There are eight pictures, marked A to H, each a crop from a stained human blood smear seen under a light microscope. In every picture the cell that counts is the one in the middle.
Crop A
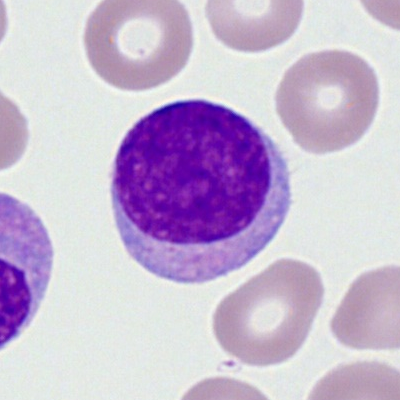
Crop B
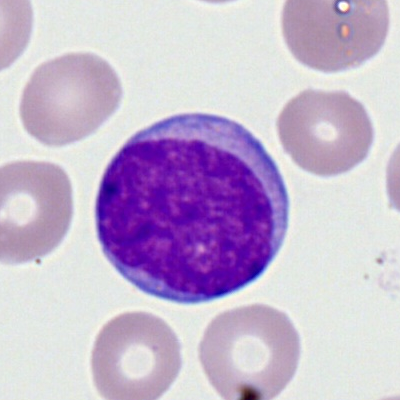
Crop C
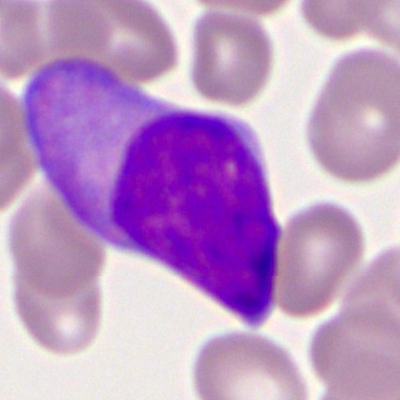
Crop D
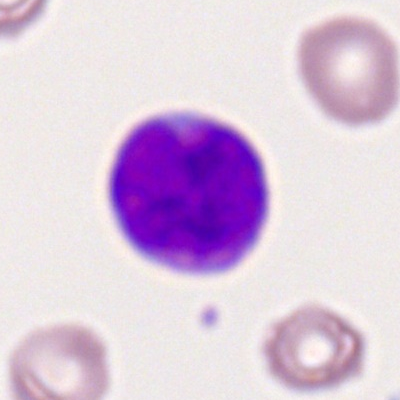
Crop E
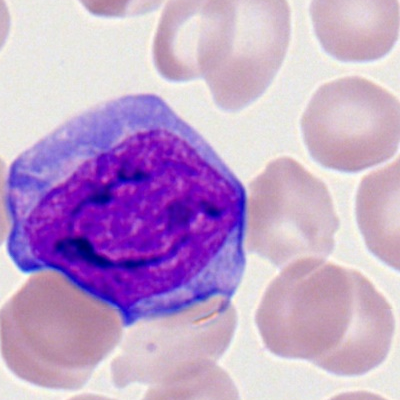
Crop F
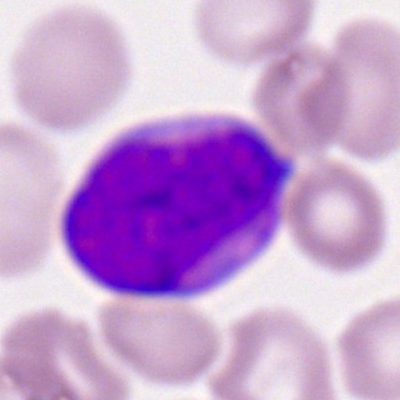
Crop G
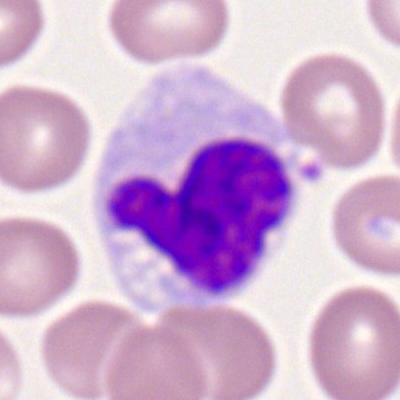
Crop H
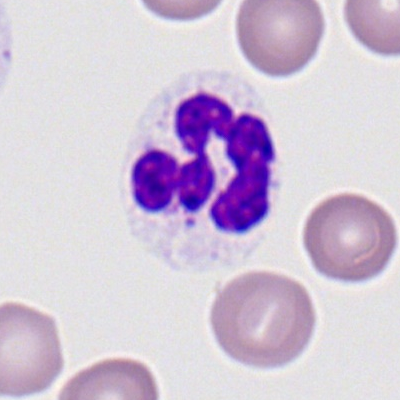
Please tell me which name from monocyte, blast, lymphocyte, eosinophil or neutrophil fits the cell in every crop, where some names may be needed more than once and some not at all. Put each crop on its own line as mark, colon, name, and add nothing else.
A: blast
B: blast
C: blast
D: blast
E: blast
F: blast
G: monocyte
H: neutrophil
